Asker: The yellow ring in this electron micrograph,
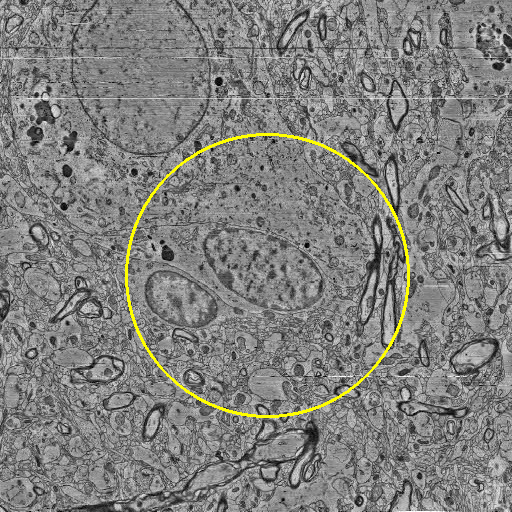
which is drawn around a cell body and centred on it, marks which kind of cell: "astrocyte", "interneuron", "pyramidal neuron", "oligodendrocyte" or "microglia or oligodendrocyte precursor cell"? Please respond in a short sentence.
The marked cell is a microglial cell or oligodendrocyte precursor cell.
